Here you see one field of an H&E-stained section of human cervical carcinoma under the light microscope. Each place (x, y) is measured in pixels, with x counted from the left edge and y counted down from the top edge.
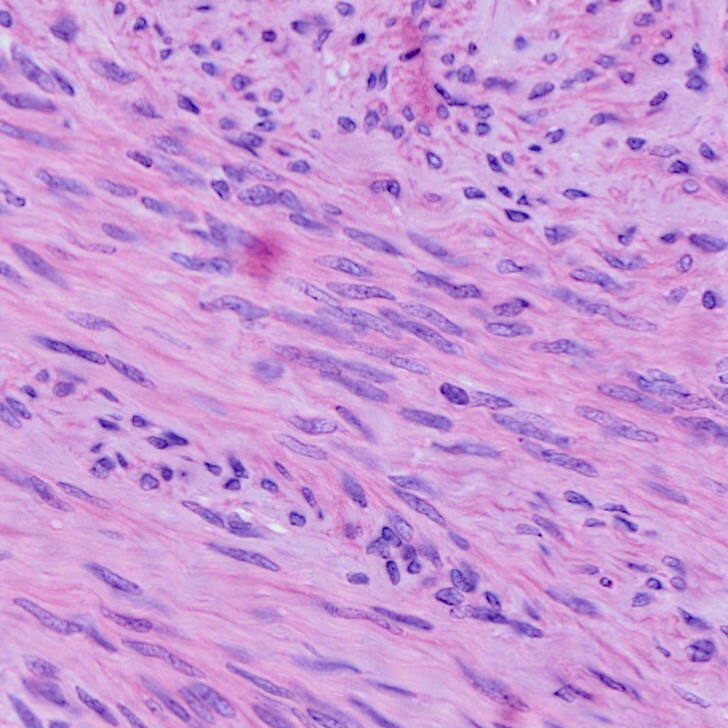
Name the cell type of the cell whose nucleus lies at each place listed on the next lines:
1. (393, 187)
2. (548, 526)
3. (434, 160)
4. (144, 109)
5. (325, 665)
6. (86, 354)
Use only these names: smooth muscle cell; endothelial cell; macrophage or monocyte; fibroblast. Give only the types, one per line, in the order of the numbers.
smooth muscle cell
smooth muscle cell
smooth muscle cell
smooth muscle cell
fibroblast
fibroblast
